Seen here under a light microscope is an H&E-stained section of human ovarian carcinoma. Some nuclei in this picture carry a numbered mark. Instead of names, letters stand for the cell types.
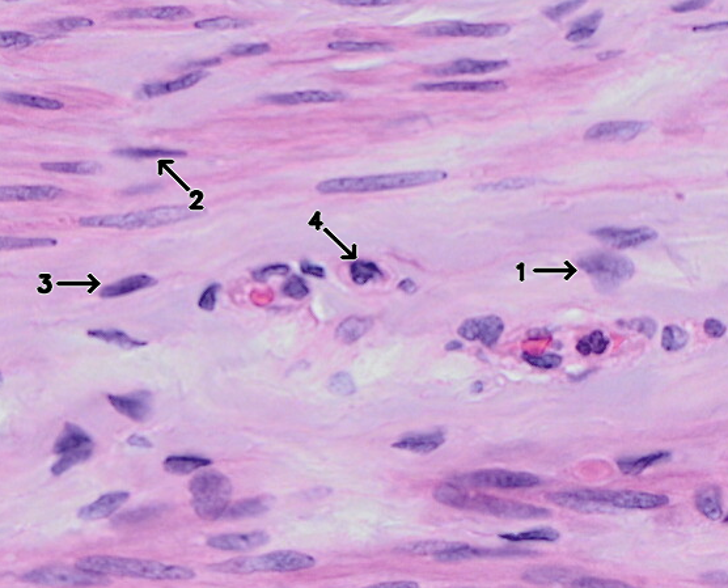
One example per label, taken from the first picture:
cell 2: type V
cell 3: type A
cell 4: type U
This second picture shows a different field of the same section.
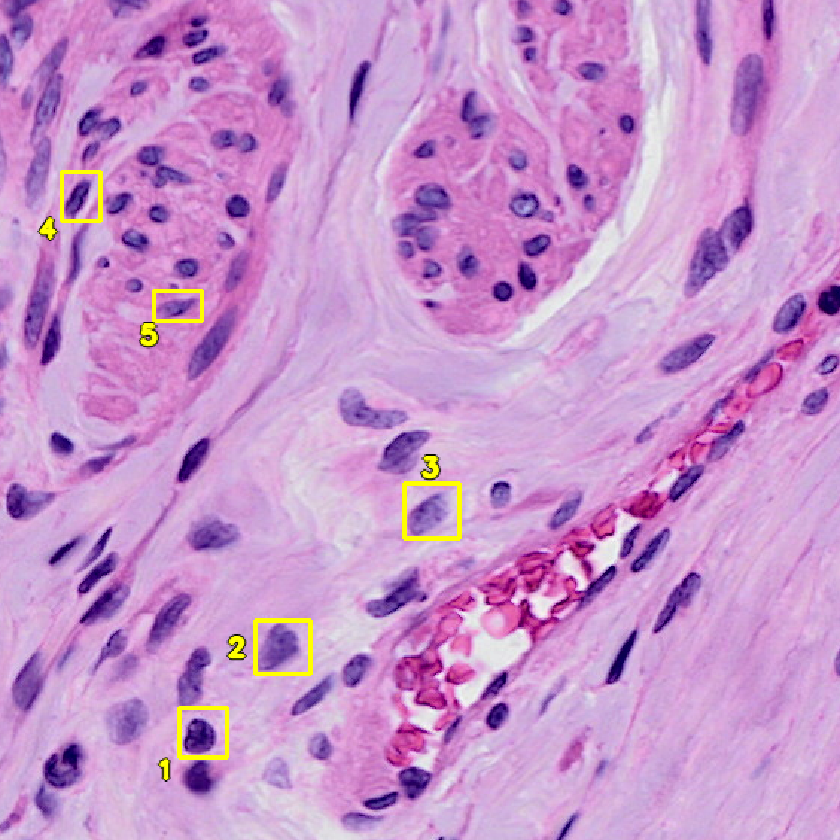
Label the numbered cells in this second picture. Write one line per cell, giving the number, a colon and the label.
1: type U
2: type A
3: type A
4: type V
5: type V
